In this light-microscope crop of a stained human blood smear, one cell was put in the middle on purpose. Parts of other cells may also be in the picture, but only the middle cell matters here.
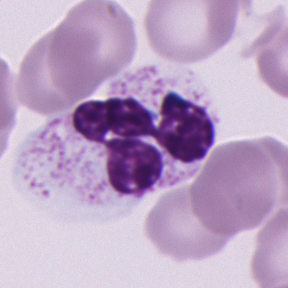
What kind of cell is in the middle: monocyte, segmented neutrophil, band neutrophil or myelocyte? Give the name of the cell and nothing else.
segmented neutrophil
